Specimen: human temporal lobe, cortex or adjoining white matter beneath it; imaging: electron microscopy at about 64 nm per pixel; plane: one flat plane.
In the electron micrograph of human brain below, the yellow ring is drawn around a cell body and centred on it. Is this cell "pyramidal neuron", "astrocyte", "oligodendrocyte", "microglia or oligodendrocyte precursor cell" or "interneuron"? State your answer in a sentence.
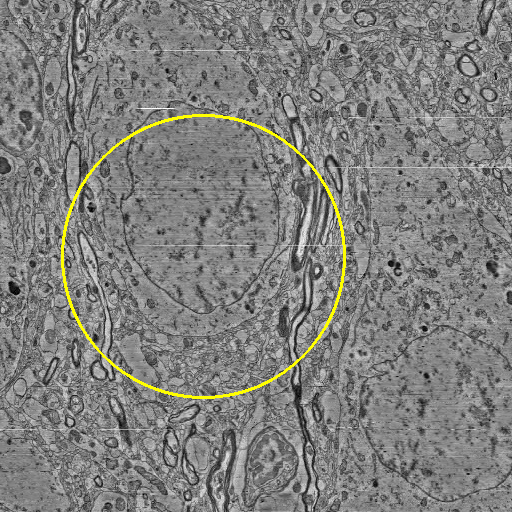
The cell in the middle of the ring is a pyramidal neuron.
